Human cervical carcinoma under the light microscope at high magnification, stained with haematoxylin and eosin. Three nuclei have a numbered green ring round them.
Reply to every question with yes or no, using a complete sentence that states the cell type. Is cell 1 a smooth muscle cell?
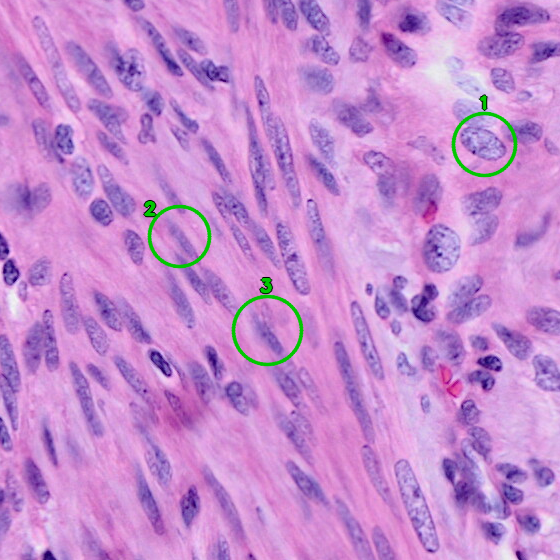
No, number 1 is not a smooth muscle cell; it is an endothelial cell.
